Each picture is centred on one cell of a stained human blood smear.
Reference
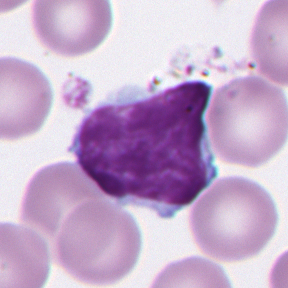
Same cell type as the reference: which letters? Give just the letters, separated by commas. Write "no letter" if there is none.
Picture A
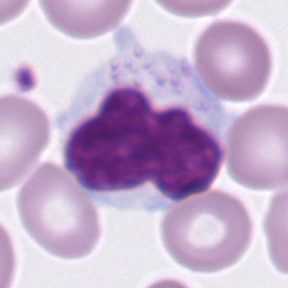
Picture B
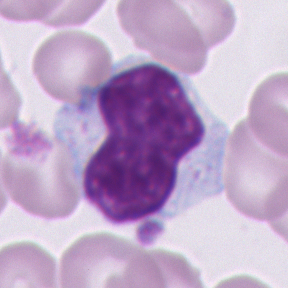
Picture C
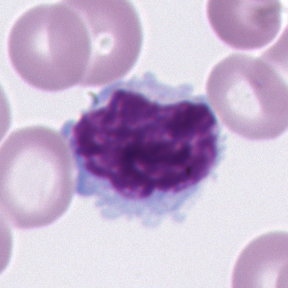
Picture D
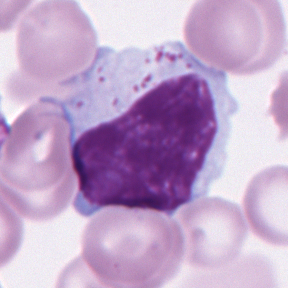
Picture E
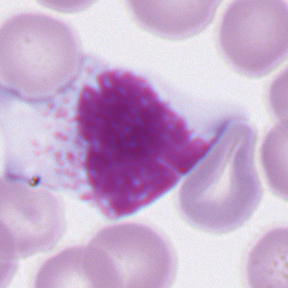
C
